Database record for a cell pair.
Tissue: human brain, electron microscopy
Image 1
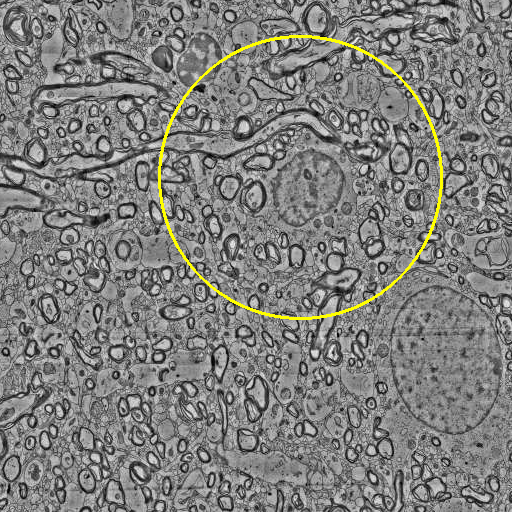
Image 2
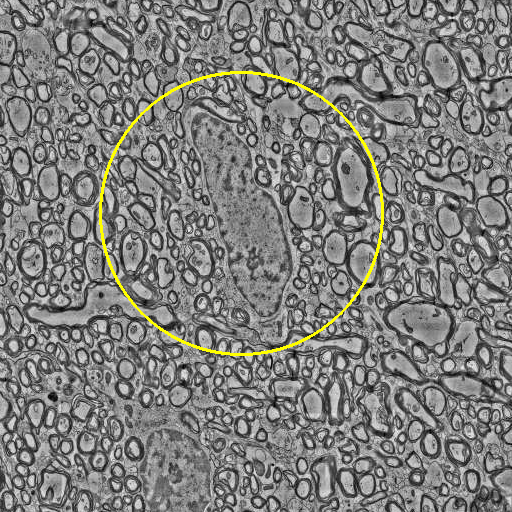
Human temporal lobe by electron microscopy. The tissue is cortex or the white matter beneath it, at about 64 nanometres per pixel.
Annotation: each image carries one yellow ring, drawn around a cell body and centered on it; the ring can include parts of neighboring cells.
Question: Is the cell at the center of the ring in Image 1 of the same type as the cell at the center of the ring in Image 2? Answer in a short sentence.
No, the cells are of two types.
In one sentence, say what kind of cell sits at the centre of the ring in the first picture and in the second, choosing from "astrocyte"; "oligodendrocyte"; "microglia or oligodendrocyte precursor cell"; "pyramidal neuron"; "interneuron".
The first picture's ringed cell is an oligodendrocyte, while the second picture's is a microglial cell or oligodendrocyte precursor cell.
